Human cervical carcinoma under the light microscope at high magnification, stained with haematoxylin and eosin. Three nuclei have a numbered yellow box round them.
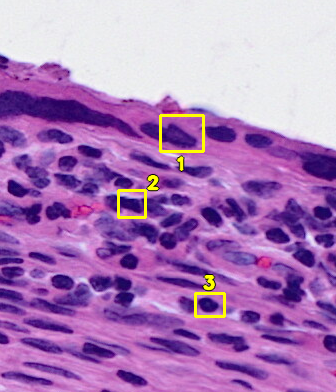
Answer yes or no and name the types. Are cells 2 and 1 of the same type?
No, with respect, cell 2 is a lymphocyte and cell 1 is a secretory epithelial cell.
